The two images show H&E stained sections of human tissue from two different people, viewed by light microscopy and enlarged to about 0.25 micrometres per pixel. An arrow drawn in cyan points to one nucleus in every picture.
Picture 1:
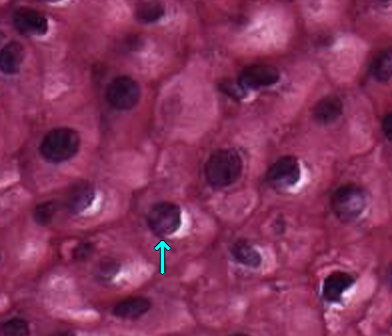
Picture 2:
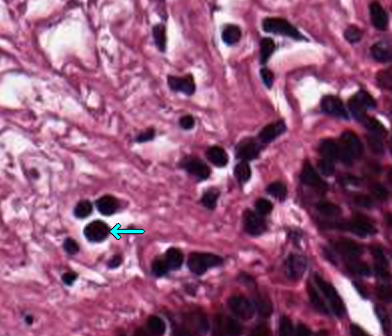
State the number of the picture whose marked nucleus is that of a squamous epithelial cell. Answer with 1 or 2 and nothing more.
1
